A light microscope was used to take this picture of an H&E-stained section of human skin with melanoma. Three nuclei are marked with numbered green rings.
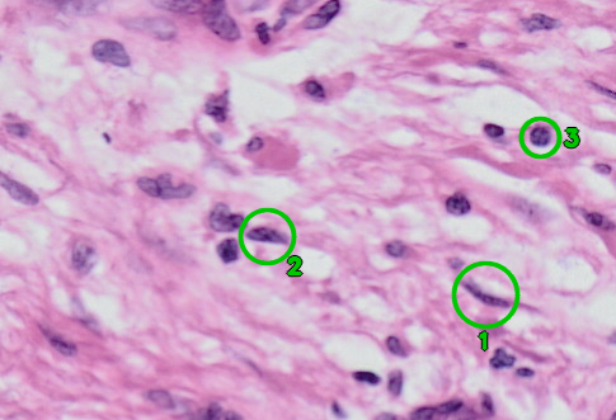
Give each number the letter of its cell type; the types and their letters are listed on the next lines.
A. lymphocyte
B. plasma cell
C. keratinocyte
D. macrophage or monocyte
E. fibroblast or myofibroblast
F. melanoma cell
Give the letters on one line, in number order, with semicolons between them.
E; D; A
